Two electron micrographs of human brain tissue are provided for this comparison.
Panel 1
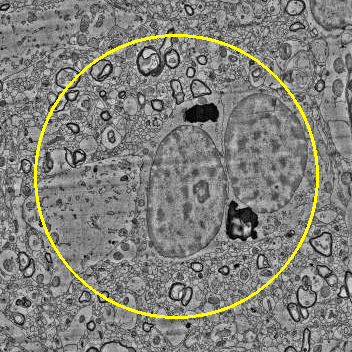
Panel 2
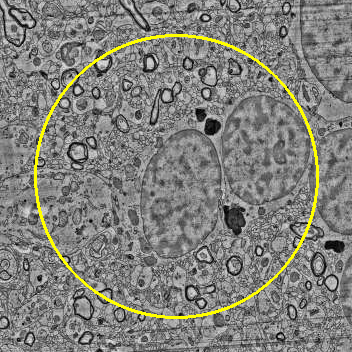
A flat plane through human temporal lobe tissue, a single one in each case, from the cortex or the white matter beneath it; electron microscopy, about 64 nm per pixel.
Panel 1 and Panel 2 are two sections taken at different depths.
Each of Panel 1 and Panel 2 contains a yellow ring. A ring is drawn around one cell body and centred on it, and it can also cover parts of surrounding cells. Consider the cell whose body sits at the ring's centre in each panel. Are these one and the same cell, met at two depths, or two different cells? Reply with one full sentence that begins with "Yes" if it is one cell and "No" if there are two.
Yes, both marked profiles belong to the very same cell.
